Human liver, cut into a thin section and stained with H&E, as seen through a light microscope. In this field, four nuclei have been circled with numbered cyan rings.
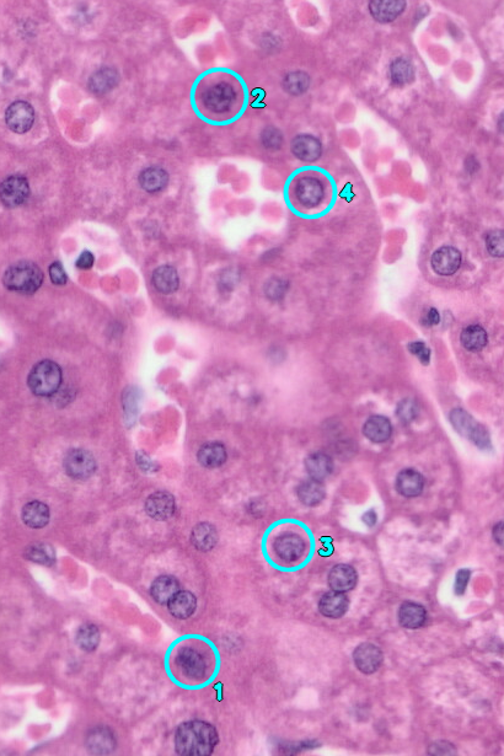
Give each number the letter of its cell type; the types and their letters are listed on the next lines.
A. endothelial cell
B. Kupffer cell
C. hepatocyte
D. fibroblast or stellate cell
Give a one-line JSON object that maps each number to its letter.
{"1": "D", "2": "C", "3": "C", "4": "C"}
